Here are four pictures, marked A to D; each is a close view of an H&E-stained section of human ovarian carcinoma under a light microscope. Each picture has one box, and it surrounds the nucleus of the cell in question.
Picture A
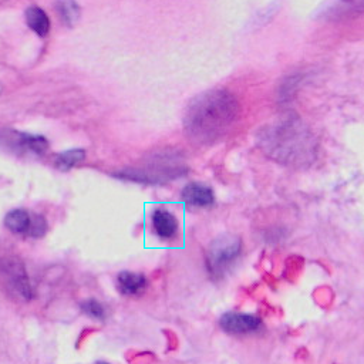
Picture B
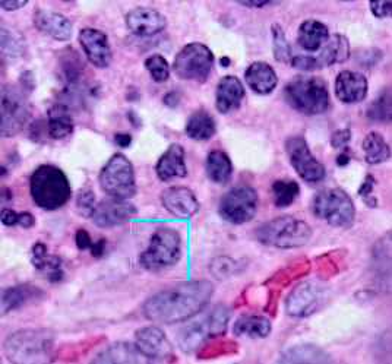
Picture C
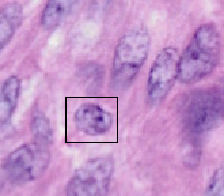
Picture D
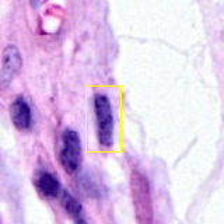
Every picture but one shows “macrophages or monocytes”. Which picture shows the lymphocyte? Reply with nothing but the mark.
A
